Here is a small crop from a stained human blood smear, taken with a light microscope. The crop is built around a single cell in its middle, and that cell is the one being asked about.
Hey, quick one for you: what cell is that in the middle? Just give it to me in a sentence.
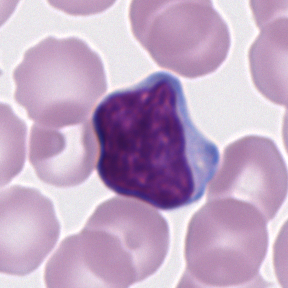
The cell in the exact centre of the crop is a typical lymphocyte.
